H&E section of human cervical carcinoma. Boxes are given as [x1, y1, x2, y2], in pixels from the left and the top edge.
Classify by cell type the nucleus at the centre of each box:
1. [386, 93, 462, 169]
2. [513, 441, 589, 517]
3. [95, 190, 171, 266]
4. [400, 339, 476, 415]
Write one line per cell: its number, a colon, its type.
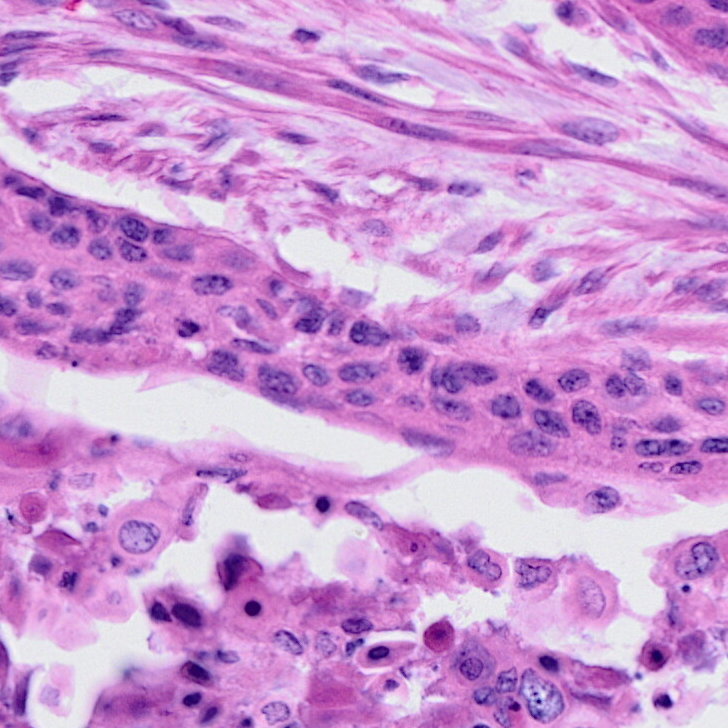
1: fibroblast
2: squamous carcinoma cell
3: squamous carcinoma cell
4: squamous carcinoma cell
